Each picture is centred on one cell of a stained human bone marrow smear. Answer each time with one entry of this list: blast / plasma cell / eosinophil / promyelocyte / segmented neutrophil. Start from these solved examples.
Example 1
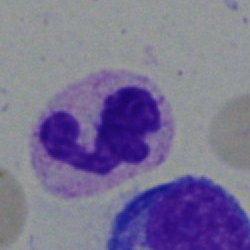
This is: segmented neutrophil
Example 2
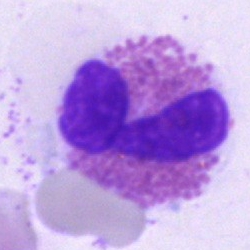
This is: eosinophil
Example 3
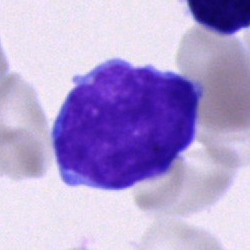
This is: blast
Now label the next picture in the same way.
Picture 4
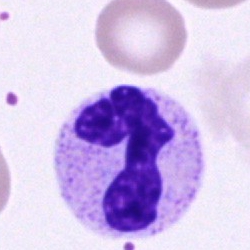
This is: segmented neutrophil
